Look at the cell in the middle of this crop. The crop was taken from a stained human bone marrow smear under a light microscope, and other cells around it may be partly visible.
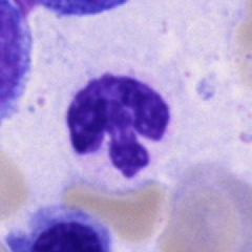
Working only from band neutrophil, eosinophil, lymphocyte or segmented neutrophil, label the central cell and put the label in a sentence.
The cell in the middle of this crop is a segmented neutrophil.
